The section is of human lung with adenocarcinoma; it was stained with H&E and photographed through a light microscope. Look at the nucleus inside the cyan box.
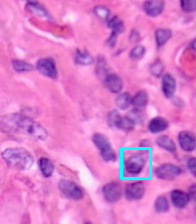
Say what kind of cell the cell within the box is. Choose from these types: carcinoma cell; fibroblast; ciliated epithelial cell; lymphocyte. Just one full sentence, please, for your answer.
Assigned to a cell type, the cell within the box is a lymphocyte.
